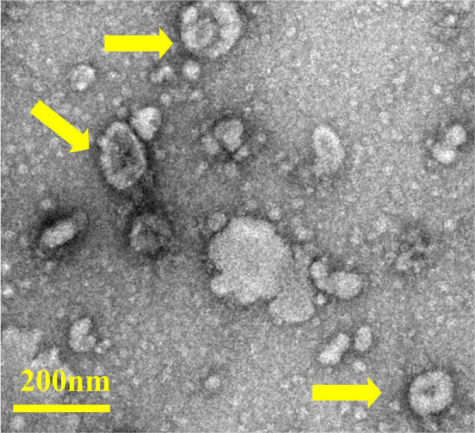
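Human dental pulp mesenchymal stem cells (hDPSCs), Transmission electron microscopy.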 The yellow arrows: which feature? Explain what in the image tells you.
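Exosomes. The arrows point to small round membrane-bounded vesicles. The vesicles are about half the length of the 200 nm scale bar across.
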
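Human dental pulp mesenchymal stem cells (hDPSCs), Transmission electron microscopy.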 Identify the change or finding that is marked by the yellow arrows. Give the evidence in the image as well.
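Some of the marked vesicles are slightly collapsed or indented rather than perfectly spherical.
Conclusion: cup-shaped morphology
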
